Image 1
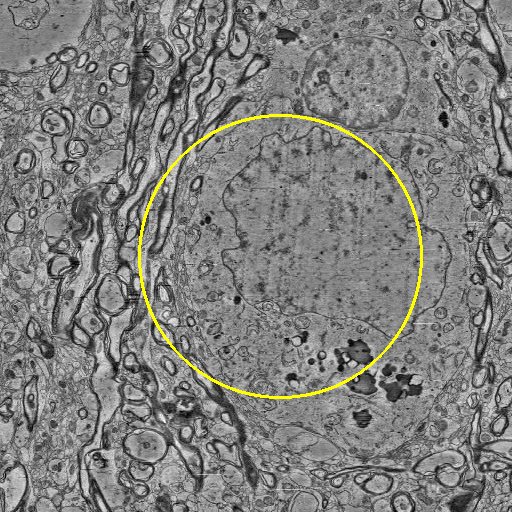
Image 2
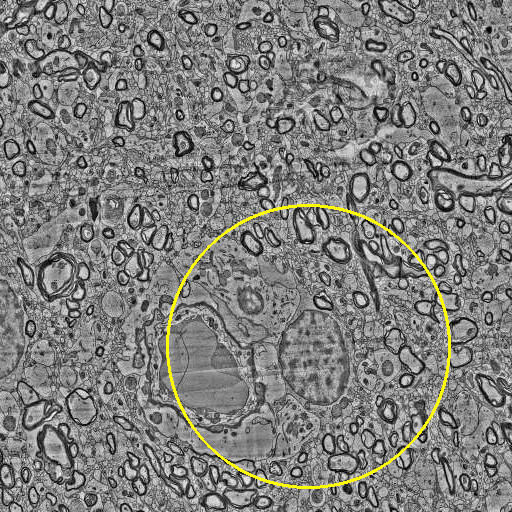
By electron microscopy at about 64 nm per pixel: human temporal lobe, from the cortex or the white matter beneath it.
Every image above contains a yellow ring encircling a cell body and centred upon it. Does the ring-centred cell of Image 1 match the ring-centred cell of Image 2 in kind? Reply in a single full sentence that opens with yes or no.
No, the cell at the ring's centre in Image 1 is a separate kind from that in Image 2.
